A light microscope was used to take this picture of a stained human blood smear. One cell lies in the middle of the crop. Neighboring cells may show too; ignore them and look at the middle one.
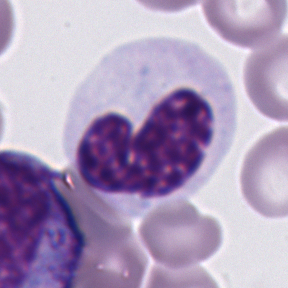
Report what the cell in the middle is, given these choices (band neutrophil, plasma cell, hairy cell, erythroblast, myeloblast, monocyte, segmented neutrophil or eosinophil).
band neutrophil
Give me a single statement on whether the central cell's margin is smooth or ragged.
Smooth edges only, with no spikes, blebs, or other projections.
